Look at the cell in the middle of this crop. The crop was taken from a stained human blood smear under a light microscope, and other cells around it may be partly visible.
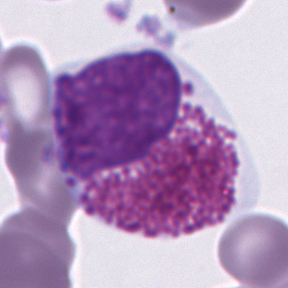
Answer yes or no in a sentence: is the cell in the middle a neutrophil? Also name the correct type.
No, the cell at the centre is identified as an eosinophil, not as a neutrophil.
